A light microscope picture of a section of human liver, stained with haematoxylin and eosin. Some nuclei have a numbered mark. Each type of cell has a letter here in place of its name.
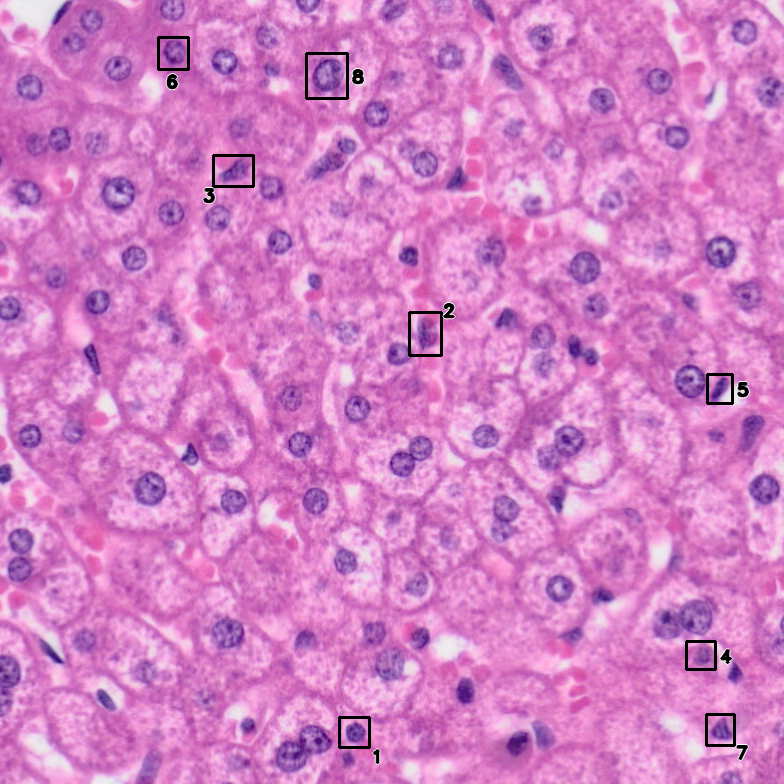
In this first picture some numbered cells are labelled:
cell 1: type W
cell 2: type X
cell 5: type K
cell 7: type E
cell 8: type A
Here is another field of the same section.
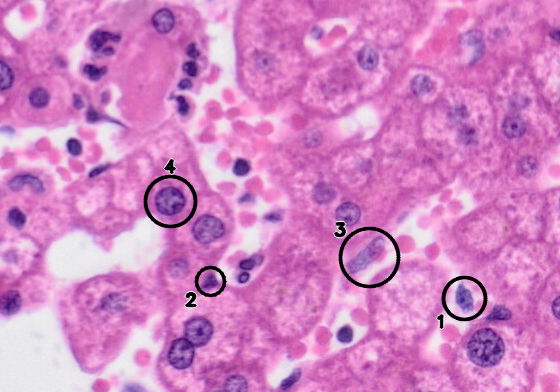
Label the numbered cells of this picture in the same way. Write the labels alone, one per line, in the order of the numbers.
type W
type K
type E
type A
